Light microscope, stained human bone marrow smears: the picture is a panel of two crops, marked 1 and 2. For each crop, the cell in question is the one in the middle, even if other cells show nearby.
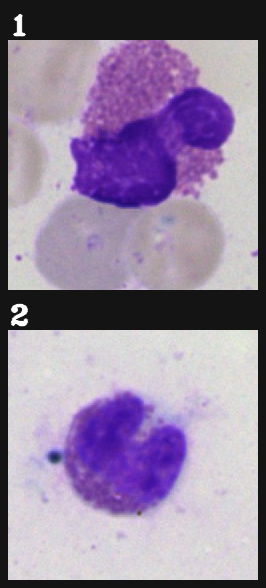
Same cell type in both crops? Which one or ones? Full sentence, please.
Yes, the first and the second crop both show eosinophils.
